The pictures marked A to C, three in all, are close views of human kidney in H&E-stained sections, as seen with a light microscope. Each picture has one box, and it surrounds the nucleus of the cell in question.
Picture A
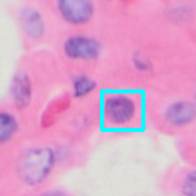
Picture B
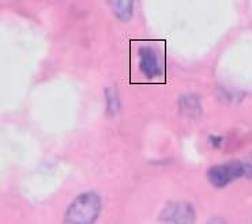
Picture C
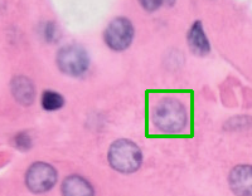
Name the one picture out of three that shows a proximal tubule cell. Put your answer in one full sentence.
It is picture C that shows the proximal tubule cell.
